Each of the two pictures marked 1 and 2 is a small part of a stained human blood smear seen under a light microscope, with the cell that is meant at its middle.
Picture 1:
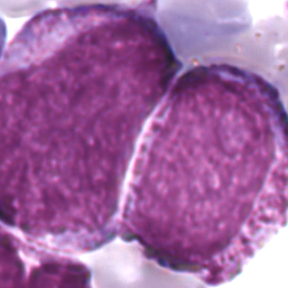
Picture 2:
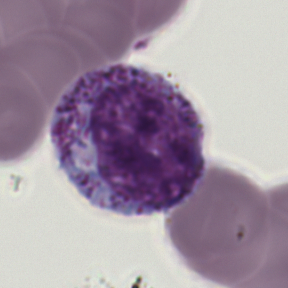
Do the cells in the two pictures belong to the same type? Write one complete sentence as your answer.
Yes, the two pictures both show promyelocytes.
